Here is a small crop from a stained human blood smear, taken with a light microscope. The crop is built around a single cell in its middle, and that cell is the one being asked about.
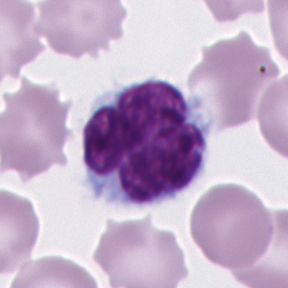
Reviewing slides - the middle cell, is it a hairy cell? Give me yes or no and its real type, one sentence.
Yes, the crop's central cell is a hairy cell.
